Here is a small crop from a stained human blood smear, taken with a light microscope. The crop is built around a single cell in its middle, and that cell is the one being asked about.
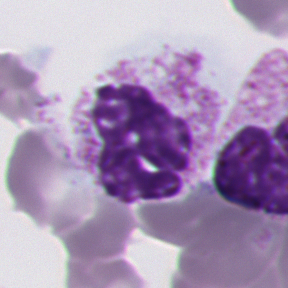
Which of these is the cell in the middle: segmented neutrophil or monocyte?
segmented neutrophil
